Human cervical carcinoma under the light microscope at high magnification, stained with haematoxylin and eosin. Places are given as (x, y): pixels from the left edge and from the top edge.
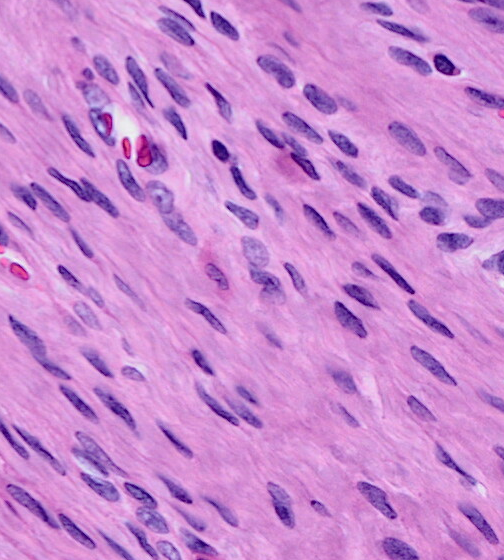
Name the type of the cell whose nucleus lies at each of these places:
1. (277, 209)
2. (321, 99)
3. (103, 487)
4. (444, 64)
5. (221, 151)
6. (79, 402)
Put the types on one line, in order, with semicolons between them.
fibroblast; fibroblast; endothelial cell; lymphocyte; lymphocyte; fibroblast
